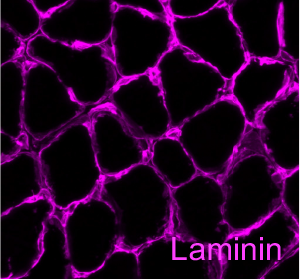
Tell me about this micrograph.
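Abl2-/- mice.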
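This is a cross-section of skeletal muscle showing muscle fibers cut transversely. Each fiber is a dark polygonal profile enclosed by a thin magenta outline. The fibers lie tightly packed, and their outlines form a continuous network across the field. The tissue looks orderly, with little space between the fibers.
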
